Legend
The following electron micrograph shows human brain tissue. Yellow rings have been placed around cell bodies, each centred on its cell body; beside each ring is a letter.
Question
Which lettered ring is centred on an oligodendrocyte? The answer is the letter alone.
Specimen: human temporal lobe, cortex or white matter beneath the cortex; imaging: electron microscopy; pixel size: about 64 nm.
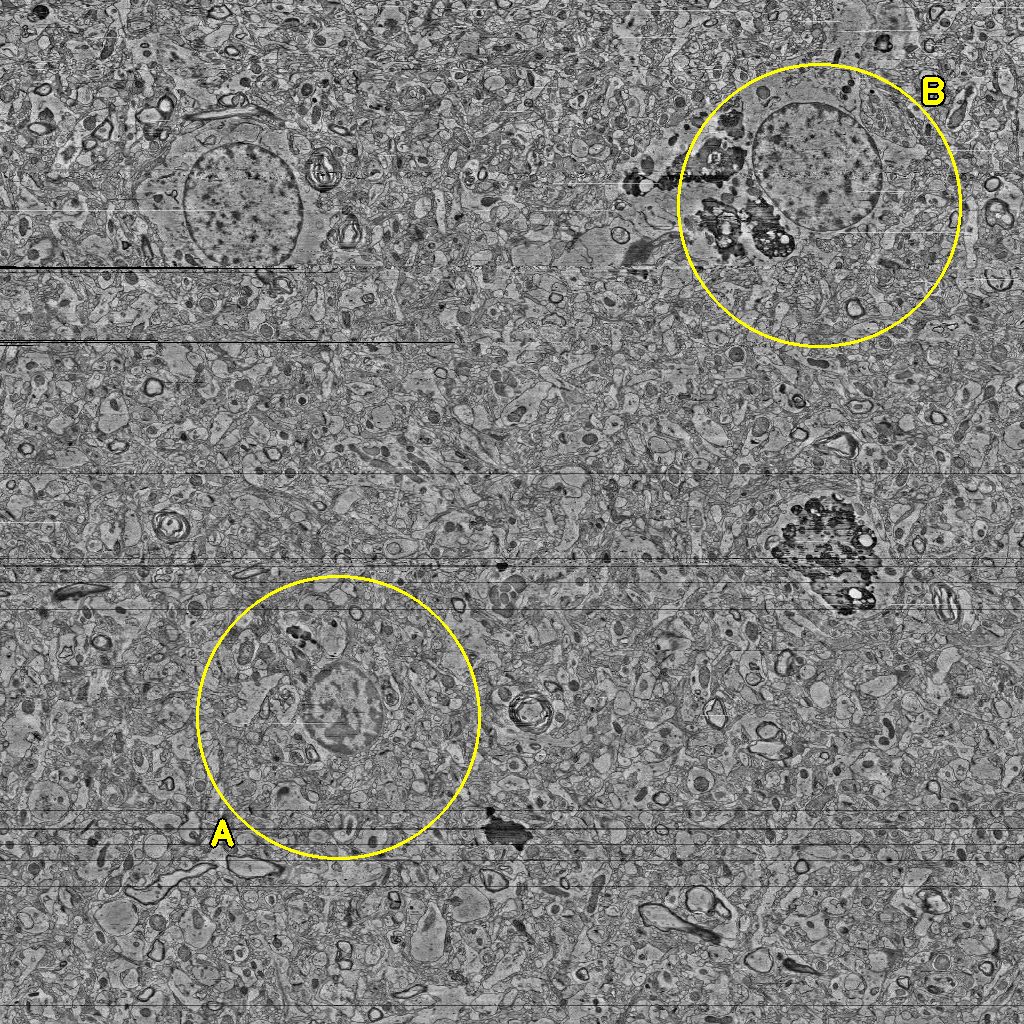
A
